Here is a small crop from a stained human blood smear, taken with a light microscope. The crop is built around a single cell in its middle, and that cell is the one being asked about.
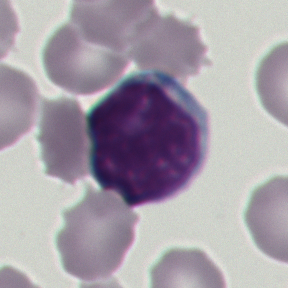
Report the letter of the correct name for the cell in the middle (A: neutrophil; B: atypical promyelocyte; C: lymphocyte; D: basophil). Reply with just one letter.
C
